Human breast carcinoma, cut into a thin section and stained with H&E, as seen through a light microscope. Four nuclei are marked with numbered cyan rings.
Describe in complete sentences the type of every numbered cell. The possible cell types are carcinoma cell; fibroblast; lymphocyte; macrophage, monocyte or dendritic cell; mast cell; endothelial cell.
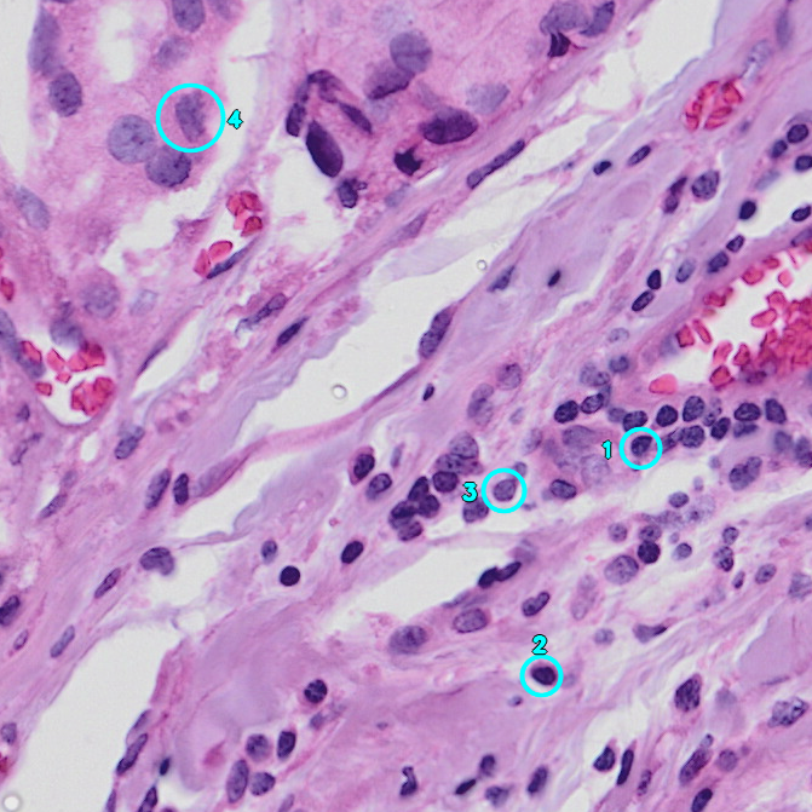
Cell 1 is a lymphocyte, cell 2 is a lymphocyte, cell 3 is a lymphocyte and cell 4 is a carcinoma cell.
